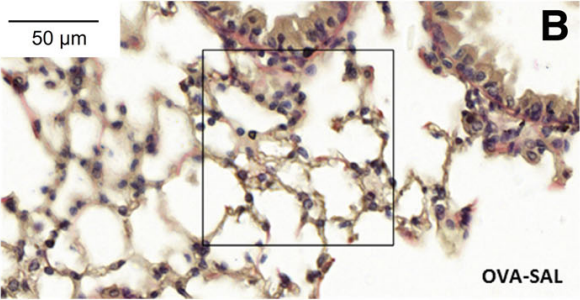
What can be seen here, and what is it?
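Here an airway lining of tall epithelial cells runs along the upper right, and next to it the lung parenchyma forms a net of thin septa around air spaces. The septa in the area beside the airway are crowded with dark blue nuclei, and red-stained strands appear along some septa and beneath the airway lining.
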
